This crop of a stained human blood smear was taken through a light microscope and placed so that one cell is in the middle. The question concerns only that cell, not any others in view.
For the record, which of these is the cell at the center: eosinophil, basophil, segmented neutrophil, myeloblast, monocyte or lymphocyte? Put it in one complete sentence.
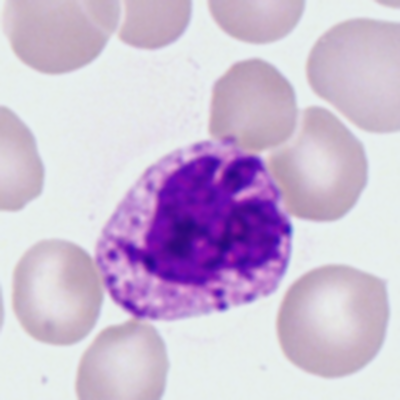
The centrally located cell in the crop is a basophil.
